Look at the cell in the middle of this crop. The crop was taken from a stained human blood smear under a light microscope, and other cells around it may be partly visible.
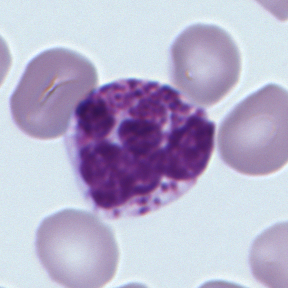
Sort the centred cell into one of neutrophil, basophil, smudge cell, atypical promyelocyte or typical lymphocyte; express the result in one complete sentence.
At the middle of the frame sits a basophil.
